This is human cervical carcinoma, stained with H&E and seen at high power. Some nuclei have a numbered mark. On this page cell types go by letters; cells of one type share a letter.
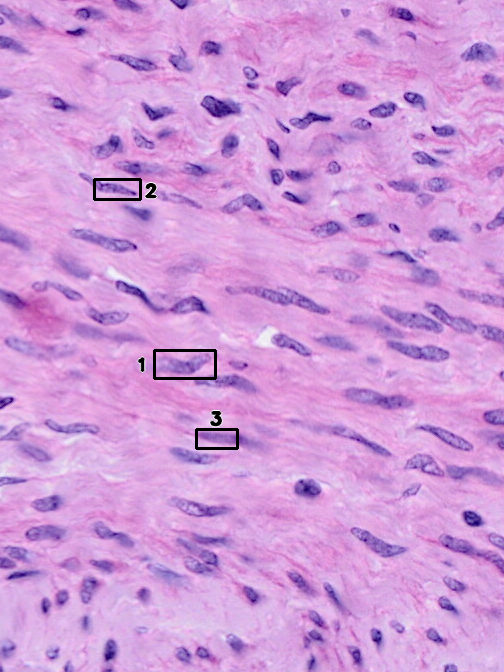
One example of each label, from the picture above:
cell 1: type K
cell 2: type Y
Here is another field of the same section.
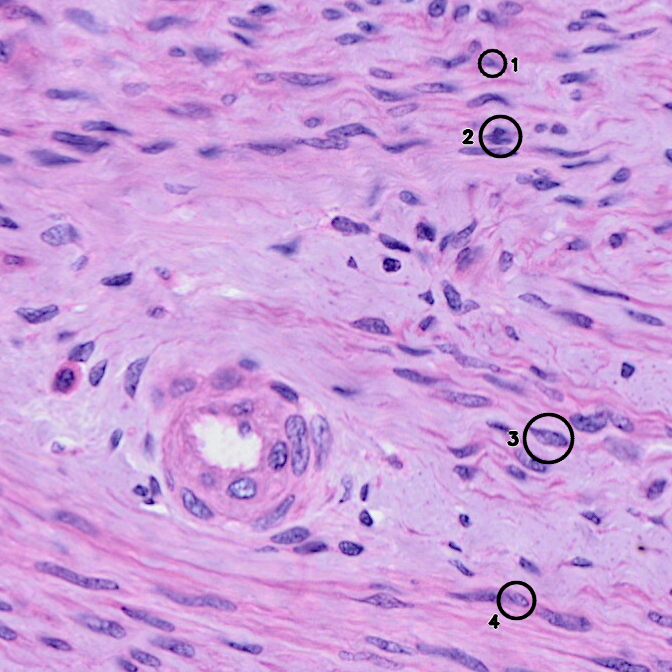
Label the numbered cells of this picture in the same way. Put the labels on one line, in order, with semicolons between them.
type K; type Y; type K; type K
